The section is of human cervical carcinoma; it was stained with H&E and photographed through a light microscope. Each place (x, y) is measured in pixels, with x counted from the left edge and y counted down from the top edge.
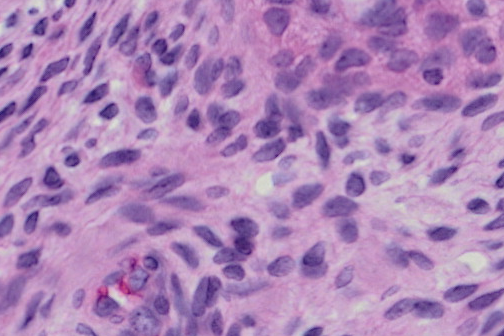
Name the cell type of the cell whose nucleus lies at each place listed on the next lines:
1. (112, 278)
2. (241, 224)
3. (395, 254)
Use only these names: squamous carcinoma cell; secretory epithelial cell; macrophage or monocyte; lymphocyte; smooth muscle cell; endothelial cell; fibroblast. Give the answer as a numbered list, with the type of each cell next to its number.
1. endothelial cell
2. fibroblast
3. fibroblast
